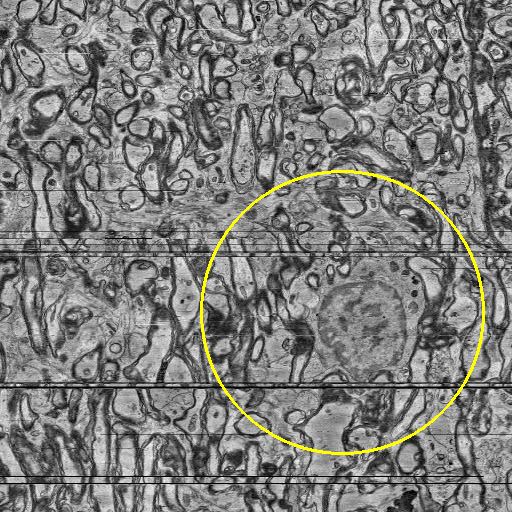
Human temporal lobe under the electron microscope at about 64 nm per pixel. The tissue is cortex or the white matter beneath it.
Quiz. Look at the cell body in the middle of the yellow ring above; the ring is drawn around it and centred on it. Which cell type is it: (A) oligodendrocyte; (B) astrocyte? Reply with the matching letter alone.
A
